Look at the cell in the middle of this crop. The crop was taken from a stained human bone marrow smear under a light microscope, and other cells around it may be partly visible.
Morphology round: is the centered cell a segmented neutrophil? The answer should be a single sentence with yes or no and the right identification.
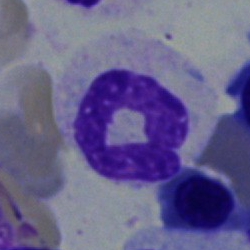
No, the central cell in this crop is a band neutrophil and not a segmented neutrophil.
